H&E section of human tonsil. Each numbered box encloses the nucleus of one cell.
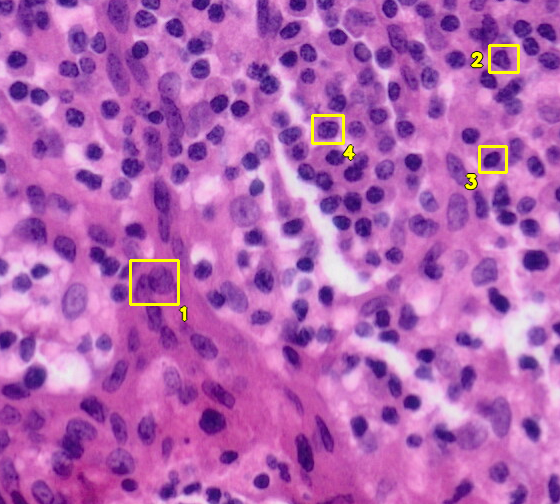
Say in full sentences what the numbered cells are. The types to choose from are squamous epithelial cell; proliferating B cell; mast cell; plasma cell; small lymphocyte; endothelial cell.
Cell 1 is a squamous epithelial cell, cell 2 is a plasma cell, cell 3 is a plasma cell and cell 4 is a plasma cell.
